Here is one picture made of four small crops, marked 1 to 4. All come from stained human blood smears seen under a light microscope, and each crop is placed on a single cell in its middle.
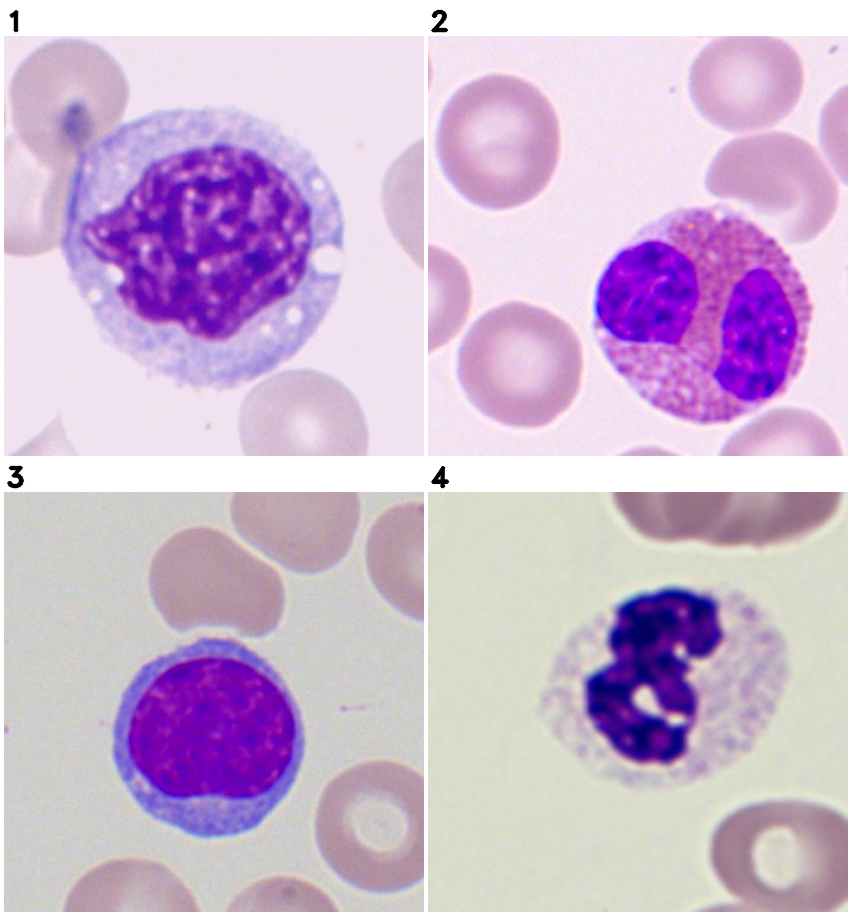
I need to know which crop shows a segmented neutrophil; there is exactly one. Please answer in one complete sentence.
Identified crop: 4, the one that shows a segmented neutrophil.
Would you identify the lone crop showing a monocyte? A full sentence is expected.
Only in crop 1 is a monocyte shown.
